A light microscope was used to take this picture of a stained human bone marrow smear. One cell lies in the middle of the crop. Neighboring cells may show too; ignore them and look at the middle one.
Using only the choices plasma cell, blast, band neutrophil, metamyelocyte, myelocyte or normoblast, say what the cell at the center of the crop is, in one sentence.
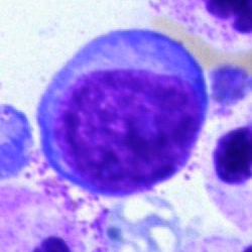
For this crop, the cell in the middle is a blast.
